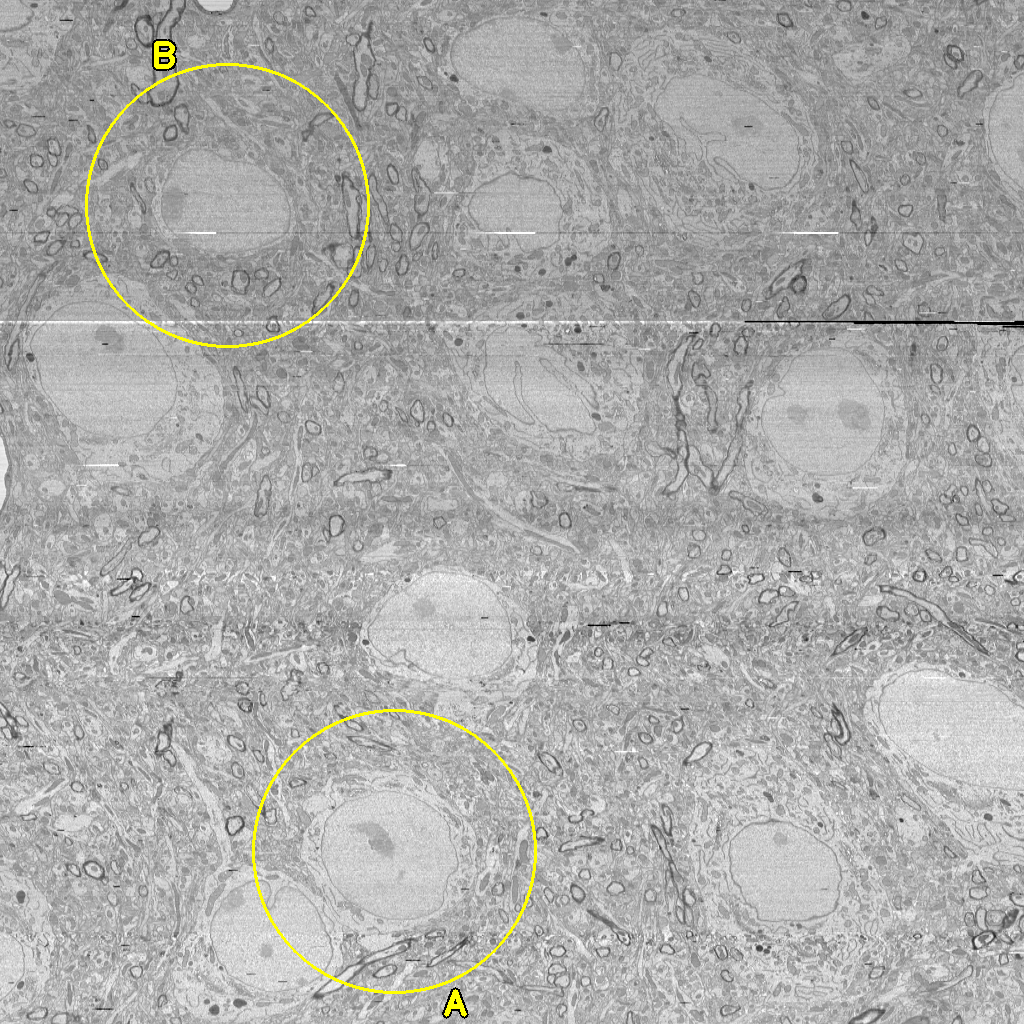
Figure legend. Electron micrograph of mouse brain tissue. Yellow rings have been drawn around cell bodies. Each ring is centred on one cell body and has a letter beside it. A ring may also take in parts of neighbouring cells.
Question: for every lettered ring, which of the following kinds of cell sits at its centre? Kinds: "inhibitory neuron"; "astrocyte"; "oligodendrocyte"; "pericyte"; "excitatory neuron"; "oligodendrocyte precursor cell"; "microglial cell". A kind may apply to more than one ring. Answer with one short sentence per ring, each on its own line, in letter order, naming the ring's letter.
Ring A is centred on an excitatory neuron.
Ring B is centred on an astrocyte.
